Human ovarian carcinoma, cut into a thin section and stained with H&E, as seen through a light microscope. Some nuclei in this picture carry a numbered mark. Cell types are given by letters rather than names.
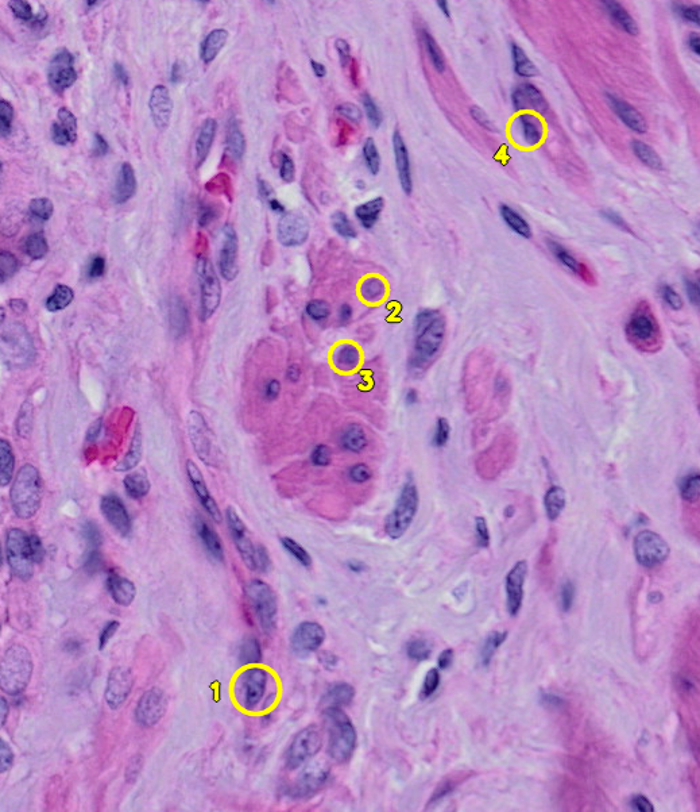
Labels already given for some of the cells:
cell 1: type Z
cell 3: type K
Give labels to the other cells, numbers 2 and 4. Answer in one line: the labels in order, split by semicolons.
type K; type K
